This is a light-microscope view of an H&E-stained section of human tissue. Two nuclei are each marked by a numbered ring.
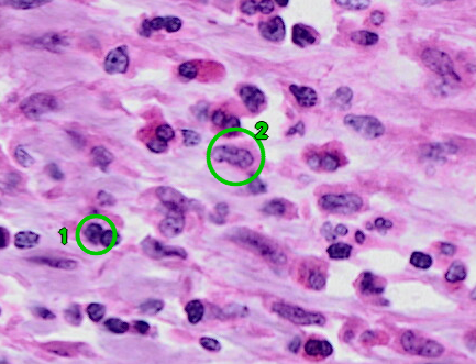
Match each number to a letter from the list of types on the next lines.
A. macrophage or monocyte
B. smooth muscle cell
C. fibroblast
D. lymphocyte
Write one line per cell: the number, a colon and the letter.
1: D
2: A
